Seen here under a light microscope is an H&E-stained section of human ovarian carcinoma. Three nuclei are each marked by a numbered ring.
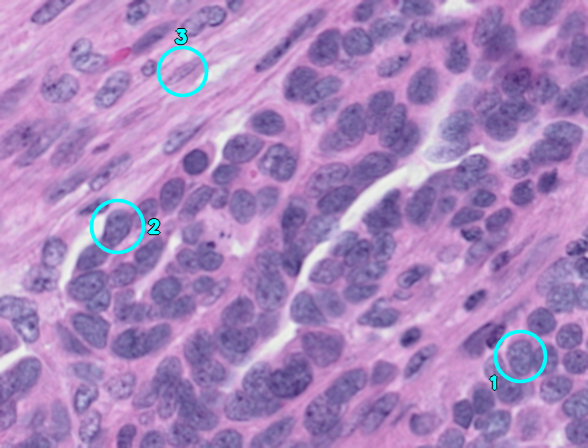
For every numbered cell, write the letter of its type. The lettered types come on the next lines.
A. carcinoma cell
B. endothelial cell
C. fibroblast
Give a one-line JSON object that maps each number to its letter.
{"1": "A", "2": "A", "3": "C"}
